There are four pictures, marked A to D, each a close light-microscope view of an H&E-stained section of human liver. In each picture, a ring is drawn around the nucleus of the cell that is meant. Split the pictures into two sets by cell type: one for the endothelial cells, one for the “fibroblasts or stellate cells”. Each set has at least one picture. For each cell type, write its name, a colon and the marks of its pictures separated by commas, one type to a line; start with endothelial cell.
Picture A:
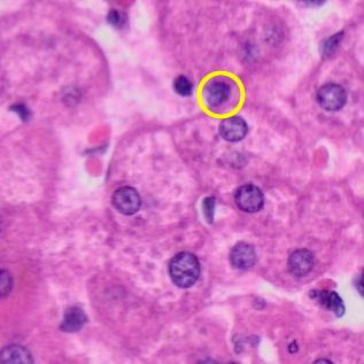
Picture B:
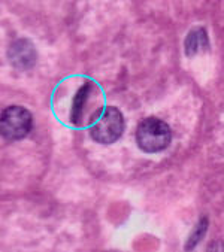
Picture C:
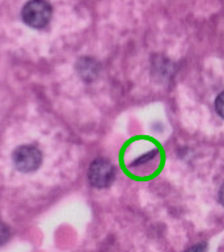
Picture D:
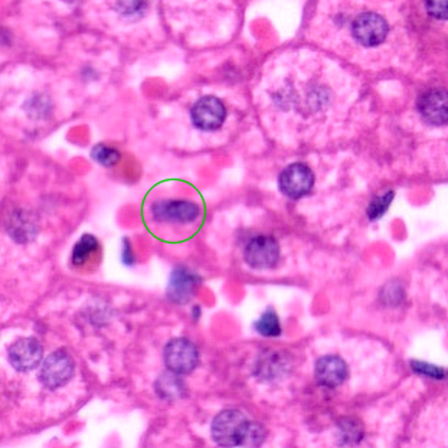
endothelial cell: B, C
fibroblast or stellate cell: A, D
